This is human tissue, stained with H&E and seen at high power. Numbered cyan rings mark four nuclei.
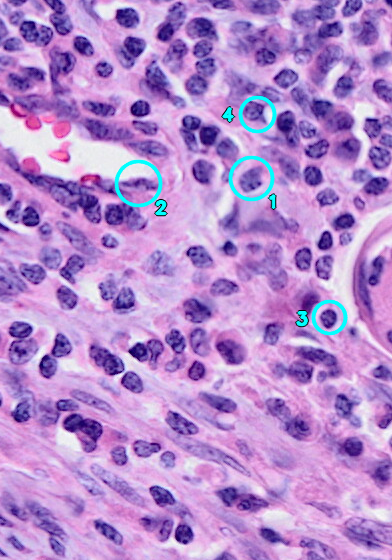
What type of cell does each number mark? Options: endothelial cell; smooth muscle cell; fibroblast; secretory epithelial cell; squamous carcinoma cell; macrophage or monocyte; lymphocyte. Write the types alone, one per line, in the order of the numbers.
lymphocyte
endothelial cell
lymphocyte
lymphocyte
